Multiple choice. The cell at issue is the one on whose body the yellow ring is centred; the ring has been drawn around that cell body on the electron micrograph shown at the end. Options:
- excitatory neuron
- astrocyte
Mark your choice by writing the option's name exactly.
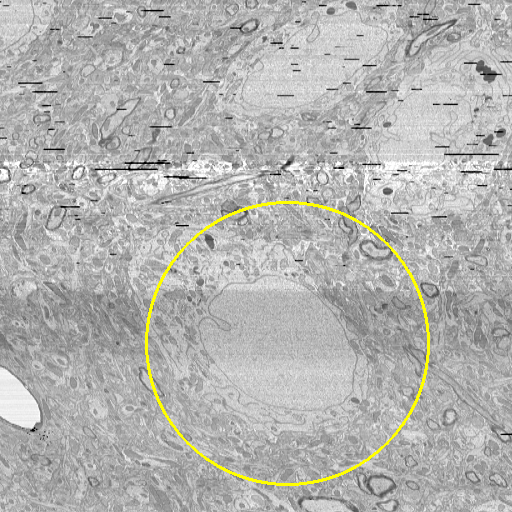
excitatory neuron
